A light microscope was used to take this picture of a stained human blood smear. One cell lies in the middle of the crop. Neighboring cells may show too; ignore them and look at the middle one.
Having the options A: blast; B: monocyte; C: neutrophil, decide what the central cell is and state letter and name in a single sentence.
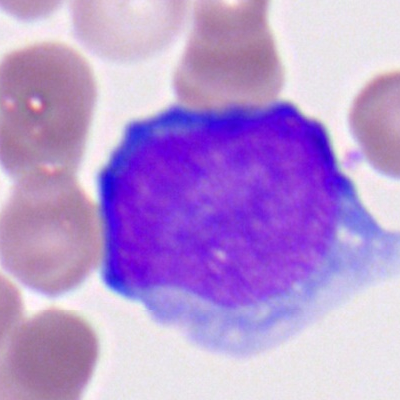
Option A is correct, naming the cell in the middle as a blast.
